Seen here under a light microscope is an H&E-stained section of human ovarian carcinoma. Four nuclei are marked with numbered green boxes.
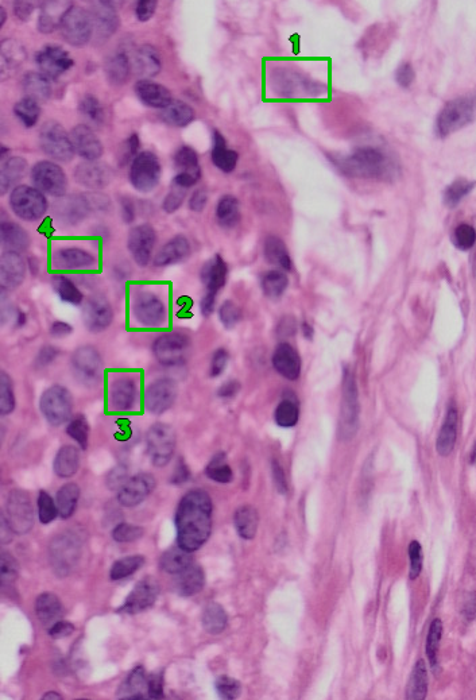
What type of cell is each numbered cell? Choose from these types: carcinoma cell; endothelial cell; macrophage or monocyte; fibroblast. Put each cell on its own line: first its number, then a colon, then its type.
1: fibroblast
2: macrophage or monocyte
3: carcinoma cell
4: carcinoma cell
